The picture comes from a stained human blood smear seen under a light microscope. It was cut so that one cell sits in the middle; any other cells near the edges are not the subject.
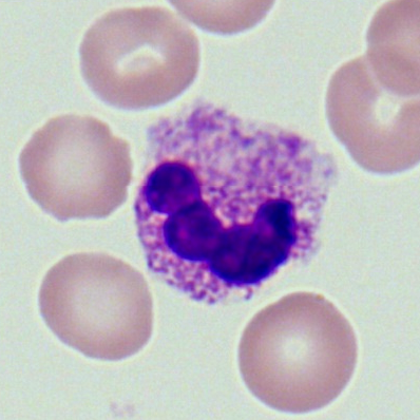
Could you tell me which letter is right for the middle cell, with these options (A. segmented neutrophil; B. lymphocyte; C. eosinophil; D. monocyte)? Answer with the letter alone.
A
